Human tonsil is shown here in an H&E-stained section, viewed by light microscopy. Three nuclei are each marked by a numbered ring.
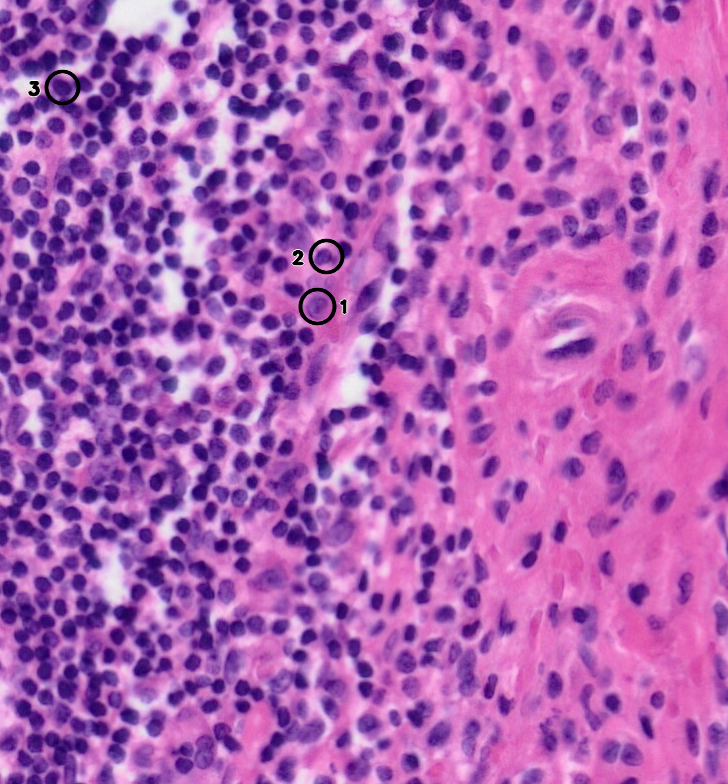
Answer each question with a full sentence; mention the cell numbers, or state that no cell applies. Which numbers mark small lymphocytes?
The numbered cells include exactly one that is a small lymphocyte, which is cell 3.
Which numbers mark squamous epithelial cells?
No squamous epithelial cells are present among the numbered cells.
